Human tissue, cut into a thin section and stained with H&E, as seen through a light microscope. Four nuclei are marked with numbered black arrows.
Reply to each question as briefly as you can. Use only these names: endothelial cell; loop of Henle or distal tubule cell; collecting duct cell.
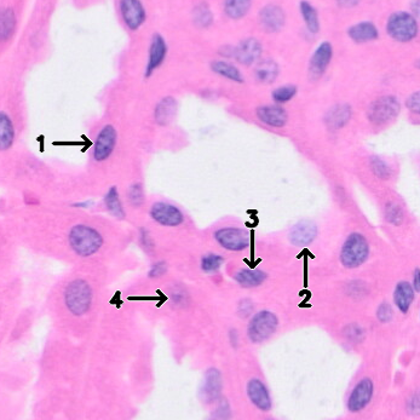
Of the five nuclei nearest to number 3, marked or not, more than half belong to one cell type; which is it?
loop of Henle or distal tubule cell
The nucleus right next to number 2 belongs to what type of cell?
loop of Henle or distal tubule cell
